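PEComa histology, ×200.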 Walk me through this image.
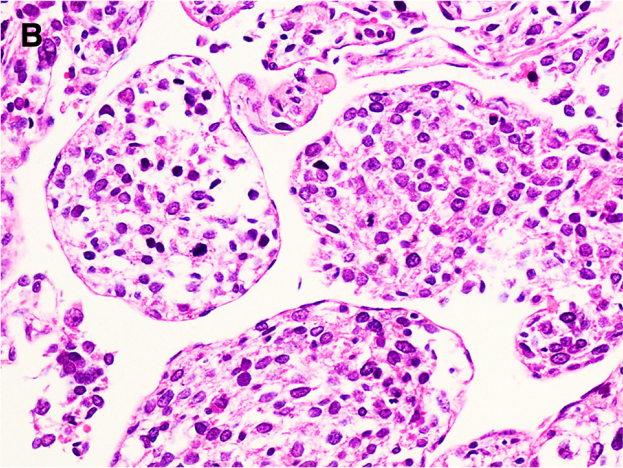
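Tumor of epithelioid cells gathered in rounded clusters that float within open, clear vascular spaces. Each cluster is wrapped by a thin flattened lining. Cells have oval nuclei with fine chromatin and pale pink, somewhat clear cytoplasm. An occasional cell has a larger, darker nucleus. Thin septa between spaces carry elongated nuclei.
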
